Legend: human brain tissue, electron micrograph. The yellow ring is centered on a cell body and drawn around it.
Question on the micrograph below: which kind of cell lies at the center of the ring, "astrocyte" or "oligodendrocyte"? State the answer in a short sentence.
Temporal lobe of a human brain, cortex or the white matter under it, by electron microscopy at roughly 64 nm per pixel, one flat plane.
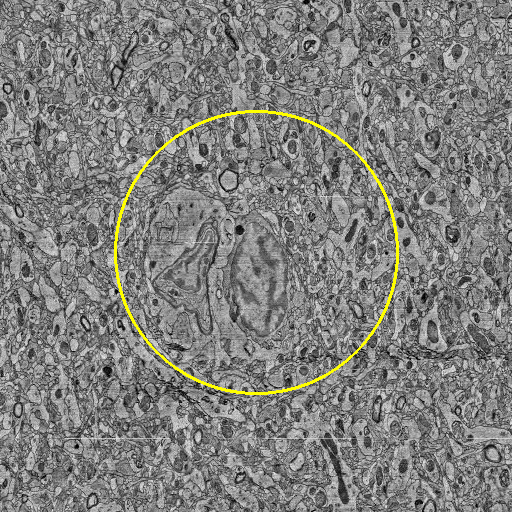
At the center of the ring lies an oligodendrocyte.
